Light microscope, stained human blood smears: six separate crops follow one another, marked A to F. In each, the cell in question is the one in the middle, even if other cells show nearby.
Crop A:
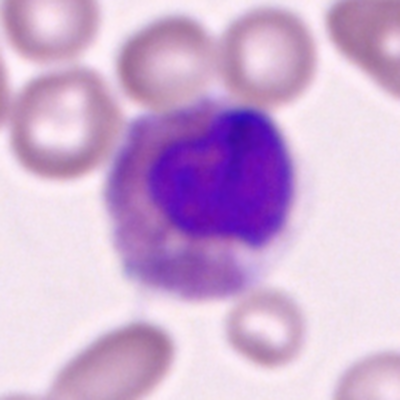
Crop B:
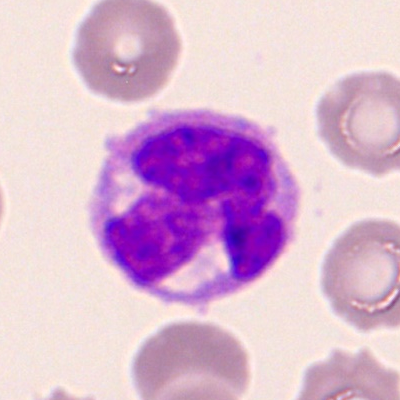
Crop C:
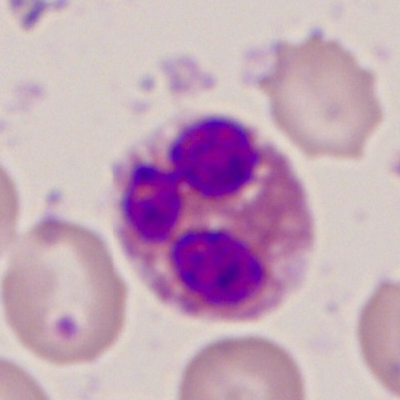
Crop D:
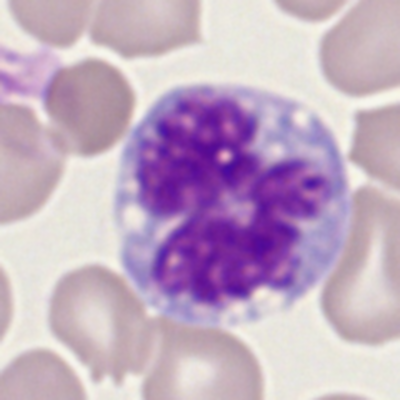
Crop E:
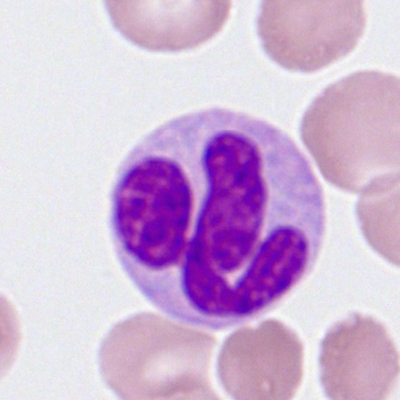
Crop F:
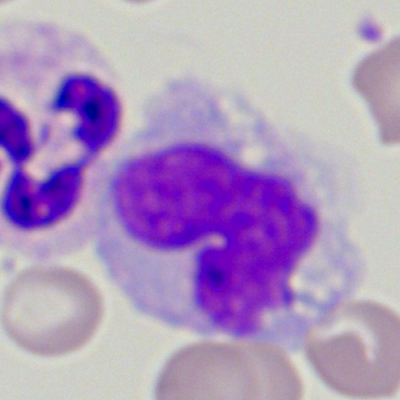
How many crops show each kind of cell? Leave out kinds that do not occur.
monocyte: 4
eosinophil: 2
